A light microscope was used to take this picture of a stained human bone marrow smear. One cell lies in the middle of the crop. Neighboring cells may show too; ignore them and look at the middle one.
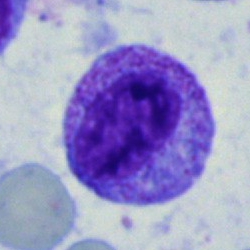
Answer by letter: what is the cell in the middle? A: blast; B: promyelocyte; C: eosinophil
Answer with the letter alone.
B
